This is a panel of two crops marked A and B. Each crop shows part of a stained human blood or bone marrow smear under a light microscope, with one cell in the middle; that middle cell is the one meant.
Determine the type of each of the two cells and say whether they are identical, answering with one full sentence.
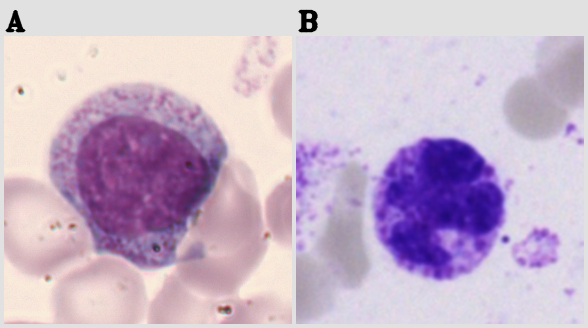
No, shown in crop A is a promyelocyte, and shown in crop B is a basophil.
